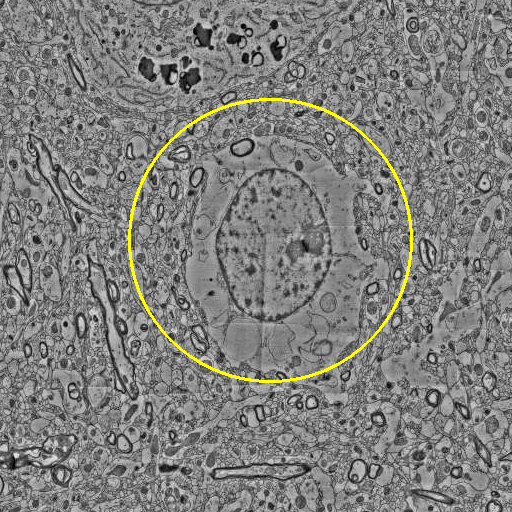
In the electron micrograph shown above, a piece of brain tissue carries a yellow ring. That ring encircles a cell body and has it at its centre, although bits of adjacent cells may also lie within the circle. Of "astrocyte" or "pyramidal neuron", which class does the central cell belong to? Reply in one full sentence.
The cell body at the centre of the yellow ring belongs to an astrocyte.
